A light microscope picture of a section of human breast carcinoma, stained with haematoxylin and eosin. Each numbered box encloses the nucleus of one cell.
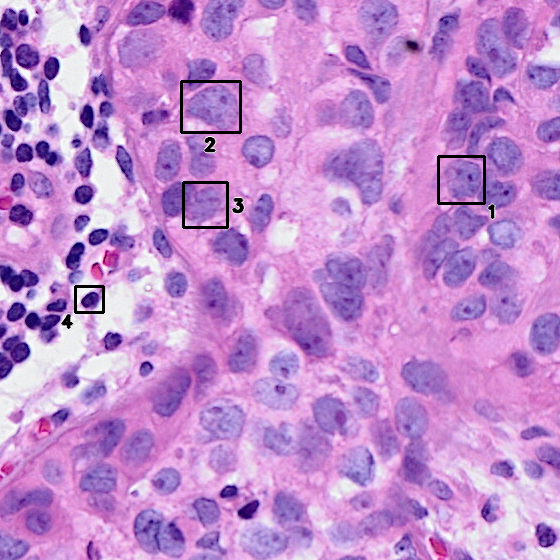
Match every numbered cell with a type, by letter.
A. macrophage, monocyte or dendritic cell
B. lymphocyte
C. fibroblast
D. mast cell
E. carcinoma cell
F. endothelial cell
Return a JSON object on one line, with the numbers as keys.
{"1": "E", "2": "E", "3": "E", "4": "B"}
